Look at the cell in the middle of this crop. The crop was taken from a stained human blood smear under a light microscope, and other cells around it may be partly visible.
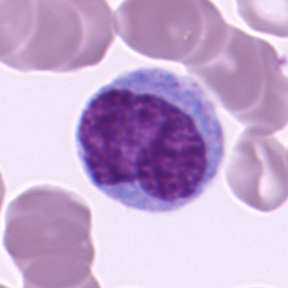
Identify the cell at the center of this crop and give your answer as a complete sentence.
The centrally positioned cell in the crop represents a monocyte.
